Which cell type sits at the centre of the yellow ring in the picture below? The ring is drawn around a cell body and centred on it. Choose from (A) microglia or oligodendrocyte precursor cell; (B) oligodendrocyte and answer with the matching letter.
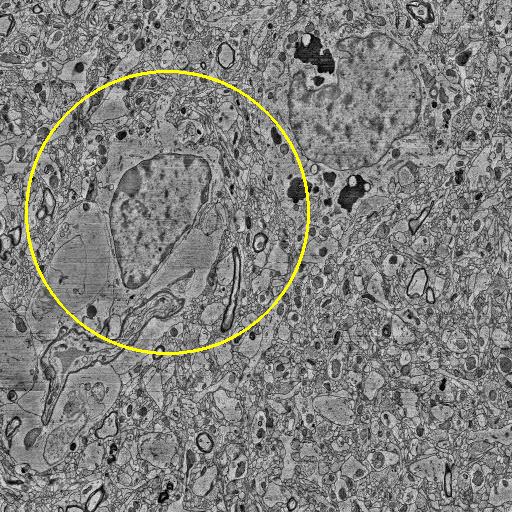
A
